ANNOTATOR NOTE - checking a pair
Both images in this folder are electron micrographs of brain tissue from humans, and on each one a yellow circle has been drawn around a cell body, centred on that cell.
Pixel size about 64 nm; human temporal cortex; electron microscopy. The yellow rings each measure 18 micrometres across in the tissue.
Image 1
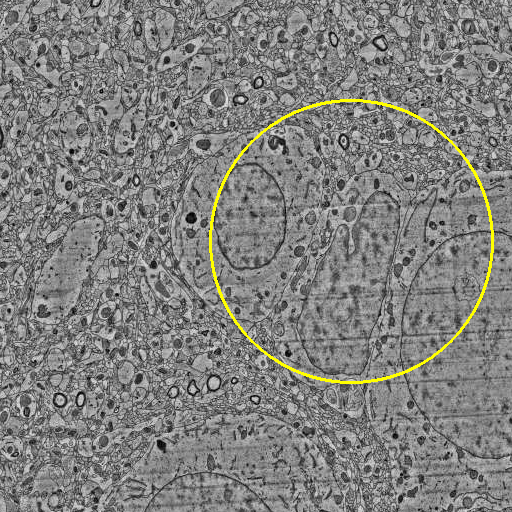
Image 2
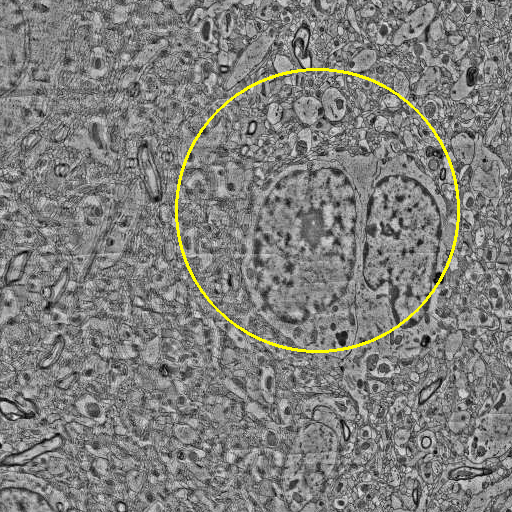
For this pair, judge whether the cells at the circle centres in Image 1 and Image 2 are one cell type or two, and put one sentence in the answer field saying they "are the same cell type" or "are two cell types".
For this pair, the cells at the circle centres in Images 1 and 2 are the same cell type.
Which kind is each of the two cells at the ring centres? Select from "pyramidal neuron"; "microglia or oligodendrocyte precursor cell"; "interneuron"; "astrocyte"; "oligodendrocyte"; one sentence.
In the first picture and in the second, the ring is centred on an interneuron.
